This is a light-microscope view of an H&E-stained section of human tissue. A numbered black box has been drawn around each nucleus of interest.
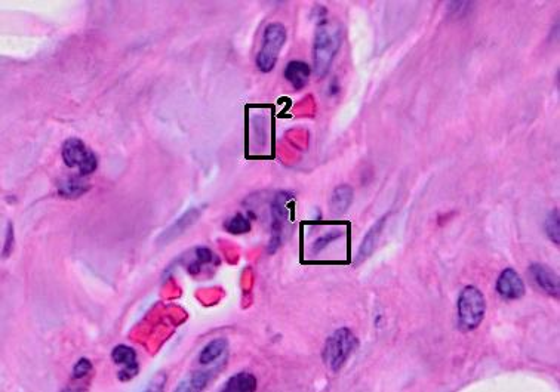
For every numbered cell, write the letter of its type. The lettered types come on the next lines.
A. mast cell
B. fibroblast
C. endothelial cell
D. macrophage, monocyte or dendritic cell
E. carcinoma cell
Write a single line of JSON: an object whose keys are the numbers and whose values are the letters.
{"1": "B", "2": "C"}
